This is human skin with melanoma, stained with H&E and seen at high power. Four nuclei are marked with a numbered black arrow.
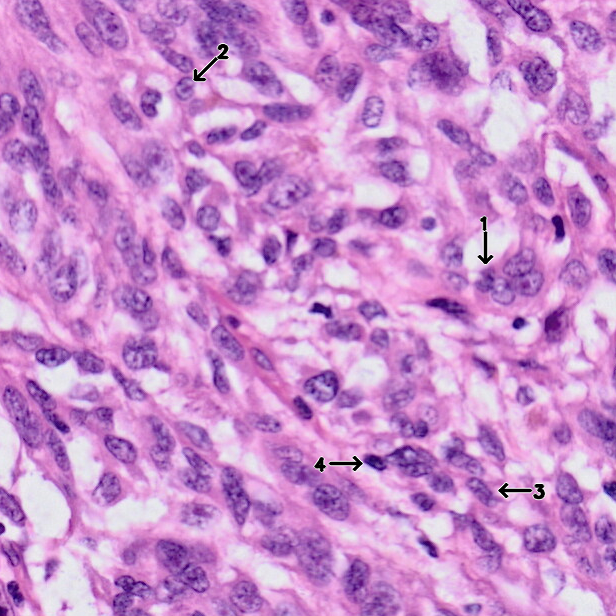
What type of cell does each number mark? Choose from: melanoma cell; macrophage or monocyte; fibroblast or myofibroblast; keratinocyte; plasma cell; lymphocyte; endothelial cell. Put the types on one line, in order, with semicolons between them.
melanoma cell; melanoma cell; melanoma cell; lymphocyte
